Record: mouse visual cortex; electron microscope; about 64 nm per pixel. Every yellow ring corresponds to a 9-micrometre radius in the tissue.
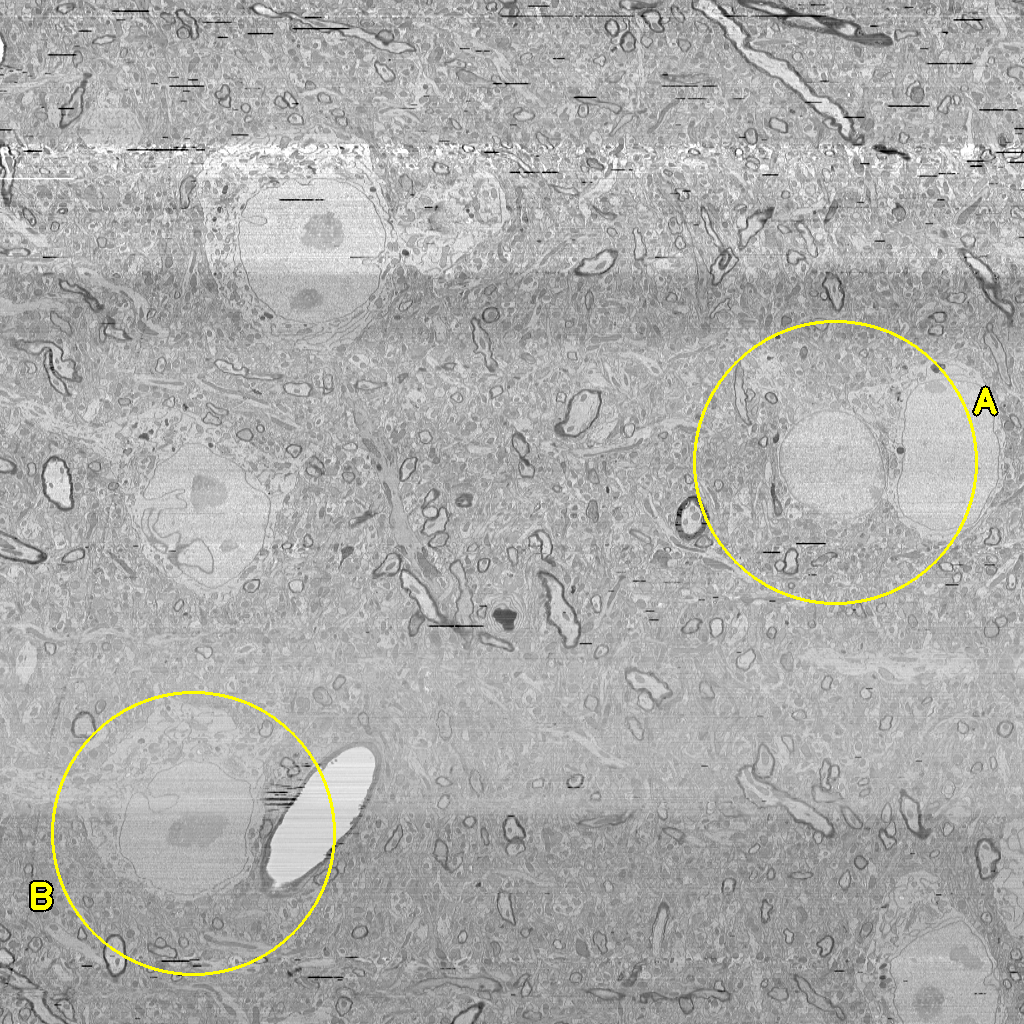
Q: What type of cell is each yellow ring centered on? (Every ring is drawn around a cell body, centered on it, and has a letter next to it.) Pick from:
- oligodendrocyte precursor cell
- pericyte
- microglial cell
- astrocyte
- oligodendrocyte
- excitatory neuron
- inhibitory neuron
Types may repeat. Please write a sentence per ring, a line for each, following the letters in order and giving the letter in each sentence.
The cell body centered in ring A belongs to an astrocyte.
The cell body centered in ring B belongs to an excitatory neuron.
